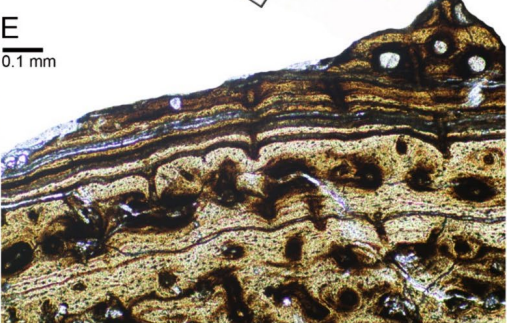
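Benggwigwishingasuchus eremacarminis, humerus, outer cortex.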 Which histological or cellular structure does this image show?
Closely spaced multiple rest lines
